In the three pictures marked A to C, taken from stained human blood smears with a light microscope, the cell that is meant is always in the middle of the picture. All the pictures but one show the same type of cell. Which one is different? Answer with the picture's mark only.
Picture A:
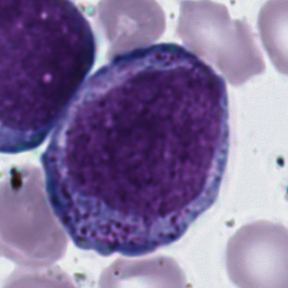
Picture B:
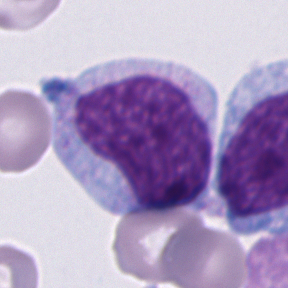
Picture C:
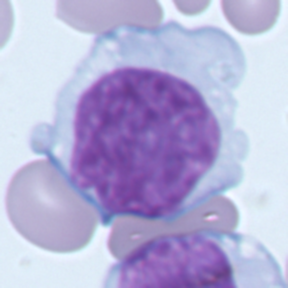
C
